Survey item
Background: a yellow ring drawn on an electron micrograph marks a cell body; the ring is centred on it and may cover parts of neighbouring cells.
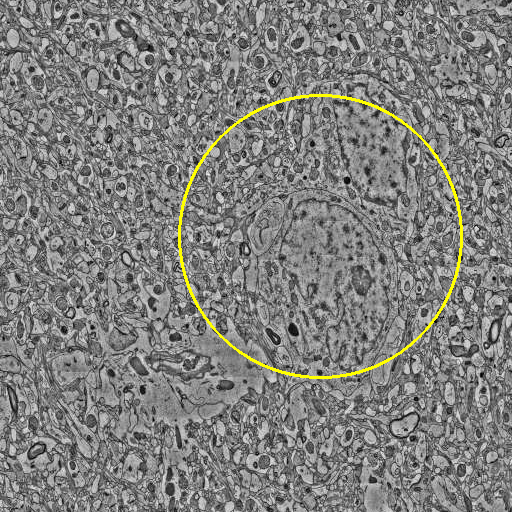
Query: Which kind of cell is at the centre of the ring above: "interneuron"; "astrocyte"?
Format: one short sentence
The cell in the middle of the ring is an interneuron.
